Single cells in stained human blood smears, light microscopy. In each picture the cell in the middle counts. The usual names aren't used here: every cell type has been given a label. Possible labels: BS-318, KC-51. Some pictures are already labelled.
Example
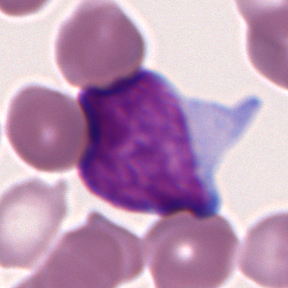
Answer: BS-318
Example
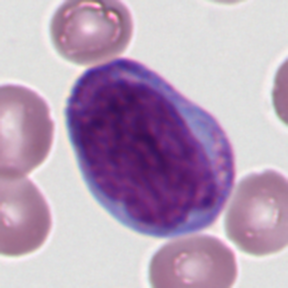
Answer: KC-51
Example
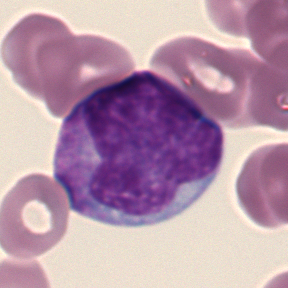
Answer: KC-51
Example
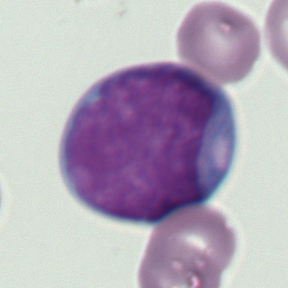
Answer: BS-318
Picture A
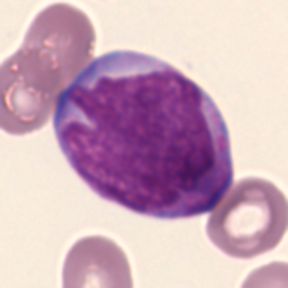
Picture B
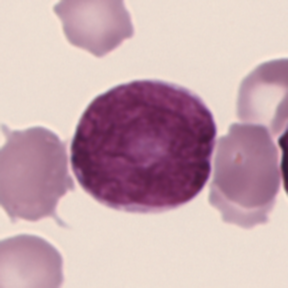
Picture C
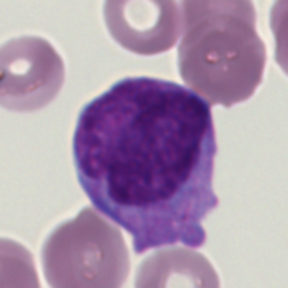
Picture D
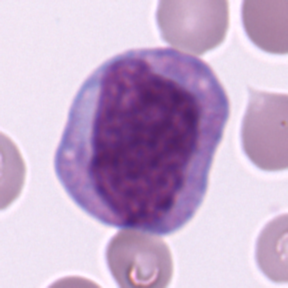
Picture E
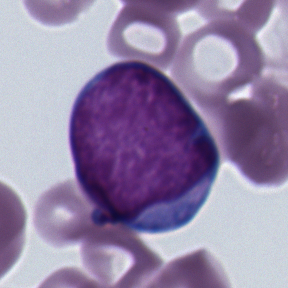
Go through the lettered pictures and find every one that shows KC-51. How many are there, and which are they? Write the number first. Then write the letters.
3: A, C, D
